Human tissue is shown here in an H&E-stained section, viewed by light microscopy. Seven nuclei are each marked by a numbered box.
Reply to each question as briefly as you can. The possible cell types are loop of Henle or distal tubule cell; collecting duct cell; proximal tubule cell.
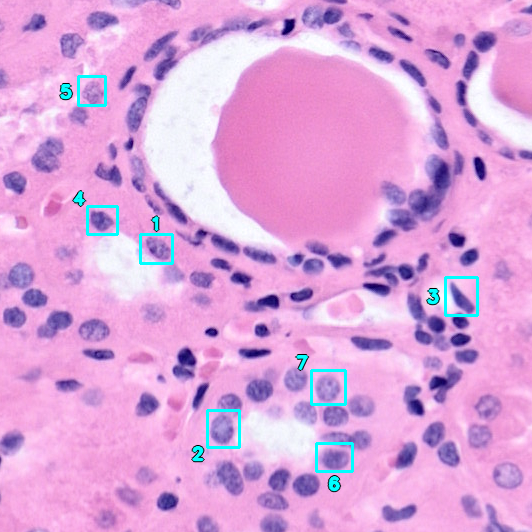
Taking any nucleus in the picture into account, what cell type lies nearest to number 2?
collecting duct cell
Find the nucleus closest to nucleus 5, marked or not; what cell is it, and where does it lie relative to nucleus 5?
a loop of Henle or distal tubule cell below and to the left of nucleus 5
